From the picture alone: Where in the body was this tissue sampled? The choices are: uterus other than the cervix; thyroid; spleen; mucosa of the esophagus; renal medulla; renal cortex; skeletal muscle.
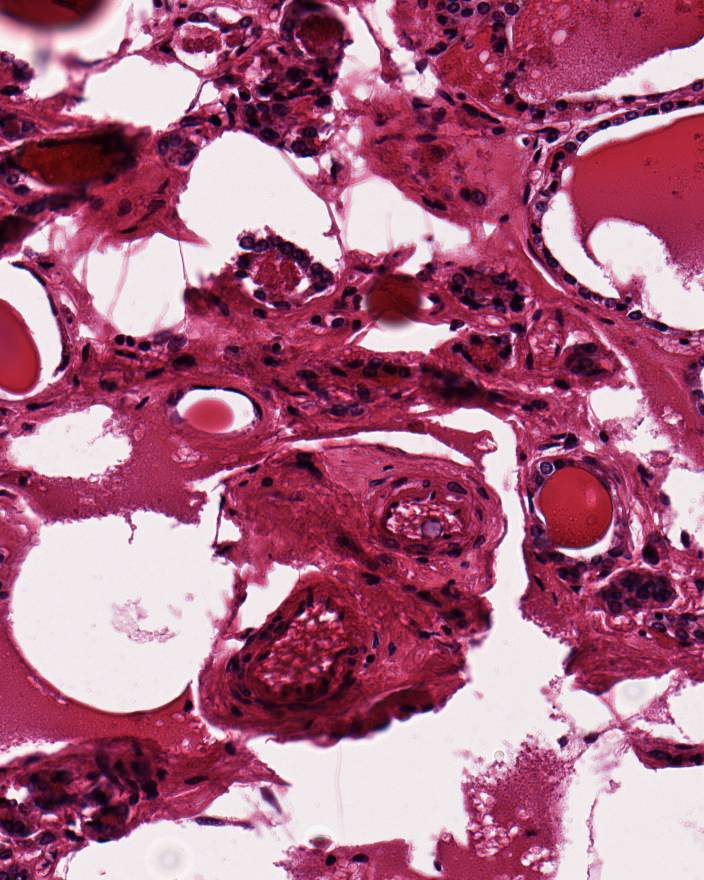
thyroid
